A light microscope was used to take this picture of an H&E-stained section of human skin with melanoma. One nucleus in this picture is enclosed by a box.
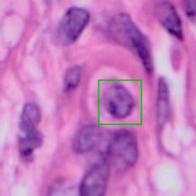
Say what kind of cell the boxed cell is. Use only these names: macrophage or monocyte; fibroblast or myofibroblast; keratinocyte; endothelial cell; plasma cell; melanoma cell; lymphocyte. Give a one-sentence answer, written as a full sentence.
Just put down that the boxed cell is an endothelial cell.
